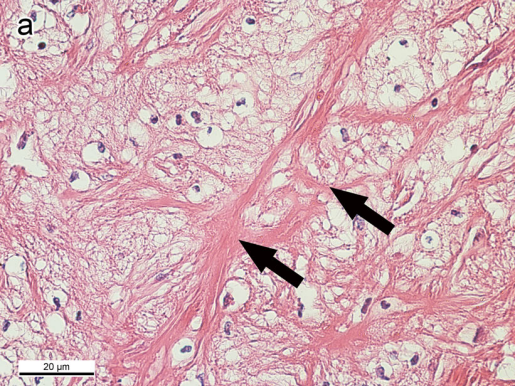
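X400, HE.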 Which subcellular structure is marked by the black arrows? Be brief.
Eosinophilic fibrillary cytoplasm.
